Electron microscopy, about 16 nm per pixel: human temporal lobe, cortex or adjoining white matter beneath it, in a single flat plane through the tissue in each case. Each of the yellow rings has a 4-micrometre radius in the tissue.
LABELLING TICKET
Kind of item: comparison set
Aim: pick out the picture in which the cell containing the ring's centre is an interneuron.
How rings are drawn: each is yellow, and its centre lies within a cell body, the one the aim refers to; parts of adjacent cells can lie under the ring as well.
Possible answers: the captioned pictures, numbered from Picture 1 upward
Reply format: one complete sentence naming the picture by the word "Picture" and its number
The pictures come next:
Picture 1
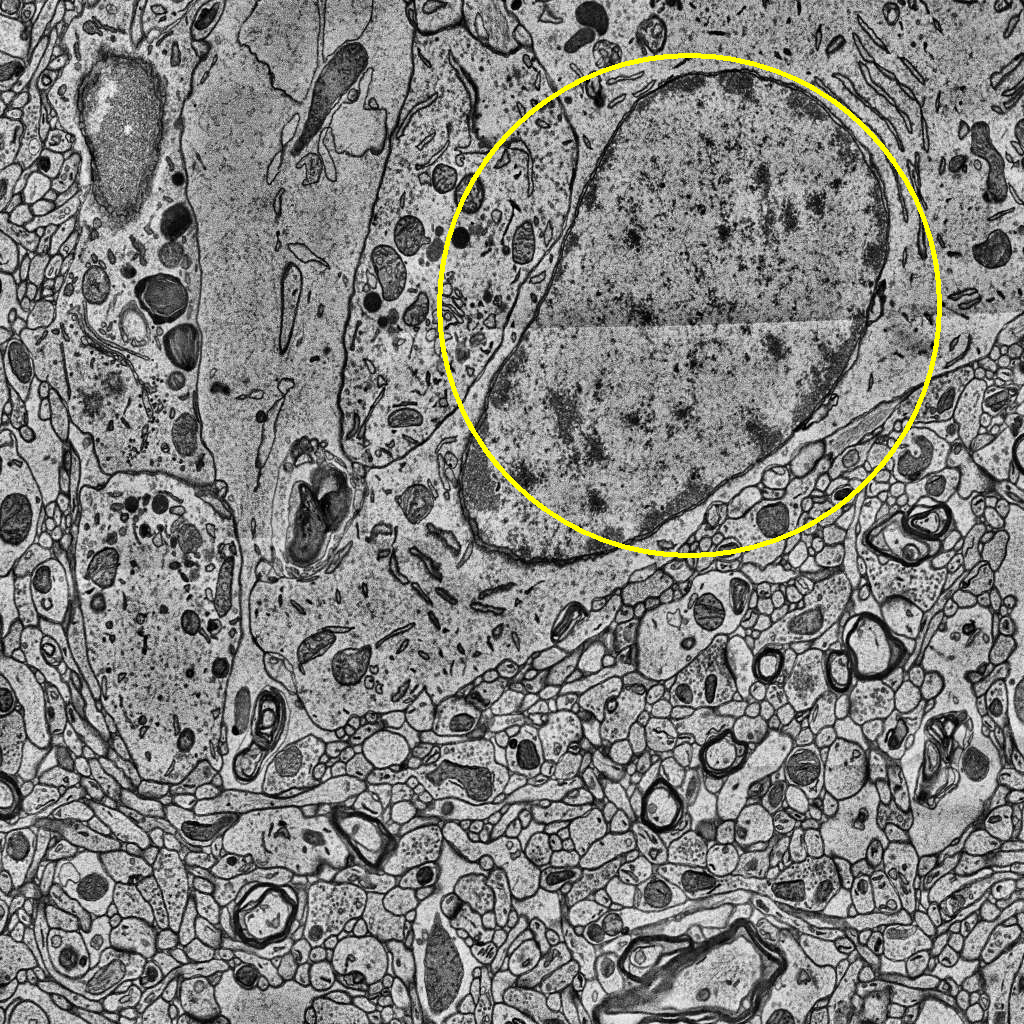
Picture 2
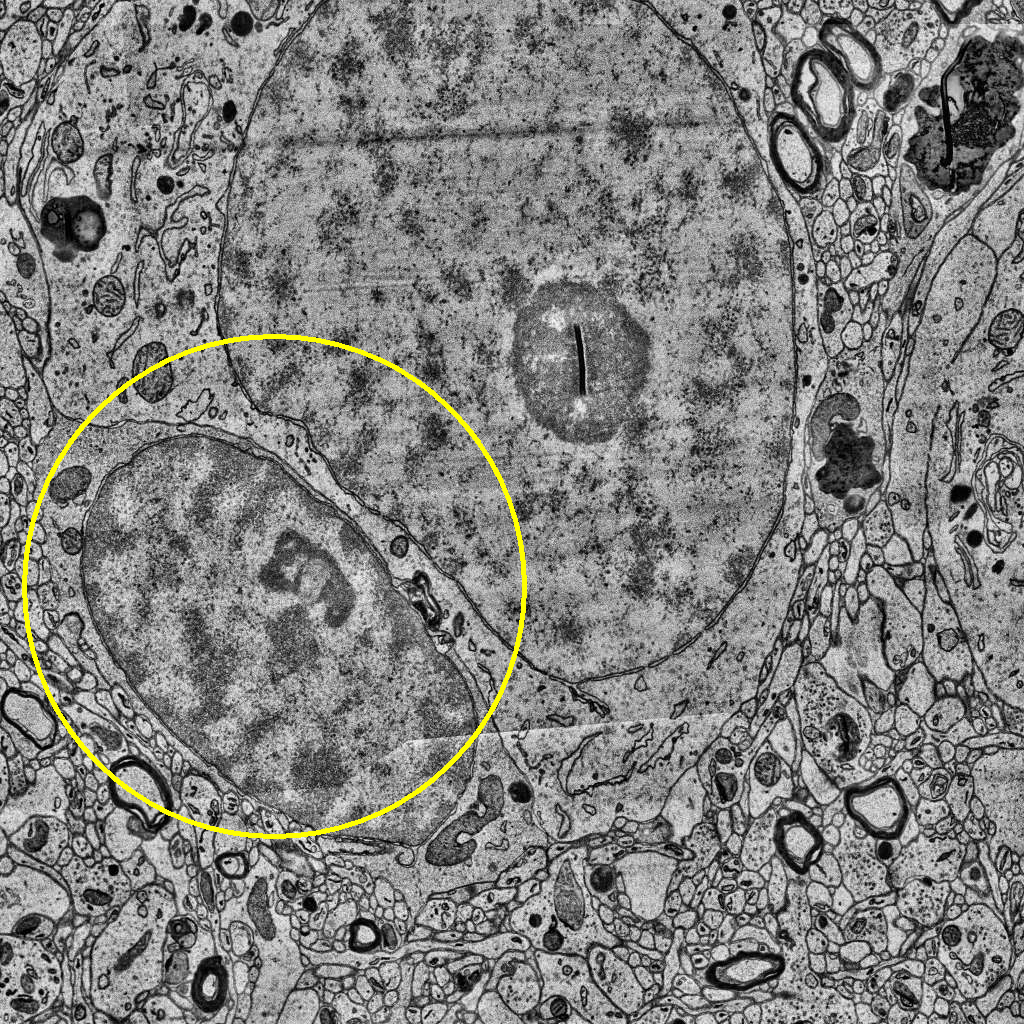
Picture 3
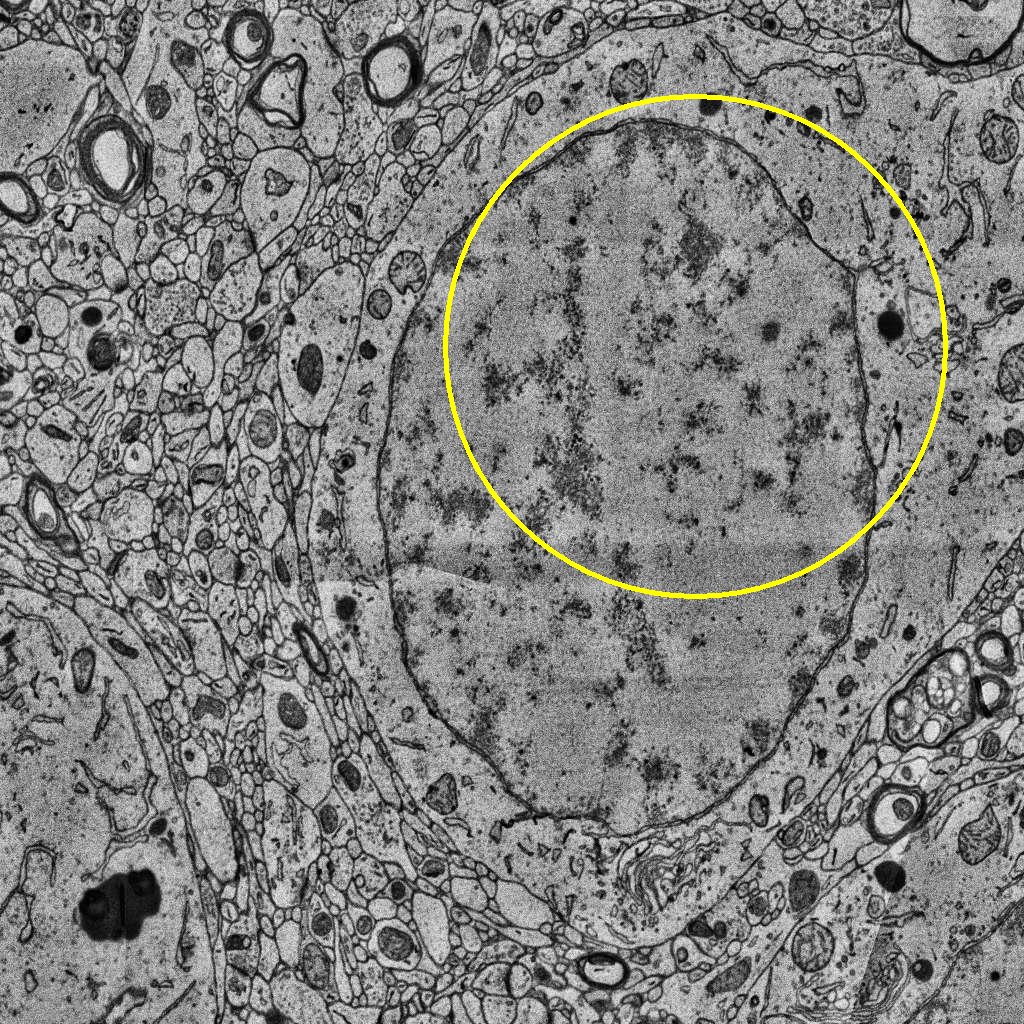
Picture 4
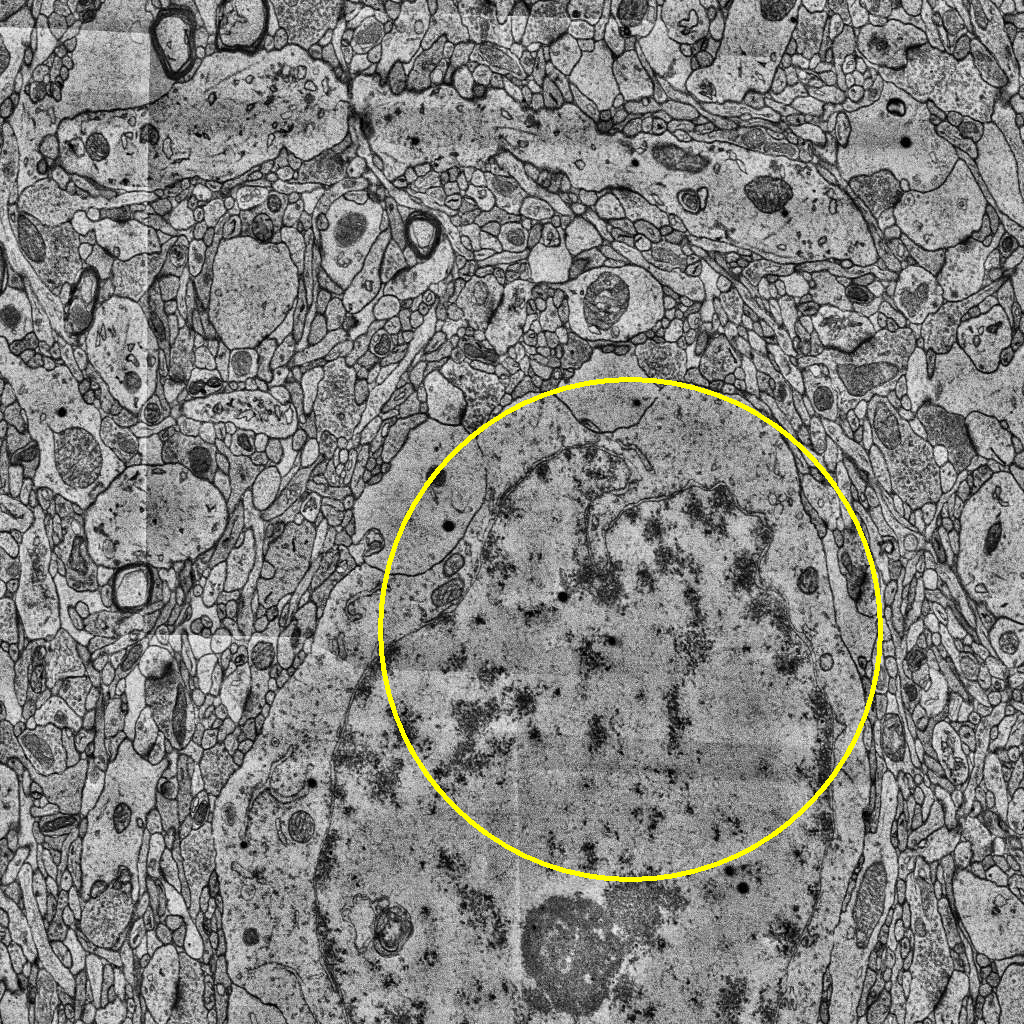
The cell containing the middle of the yellow ring in Picture 4 is the requested one.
